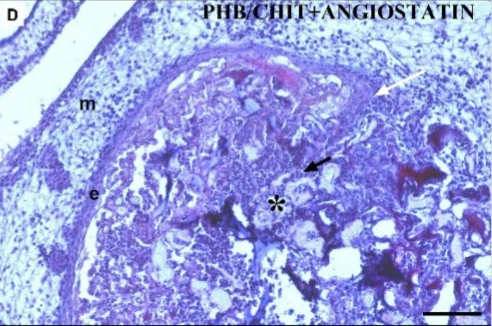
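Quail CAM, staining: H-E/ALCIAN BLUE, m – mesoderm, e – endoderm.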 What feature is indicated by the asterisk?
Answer: Scaffold.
